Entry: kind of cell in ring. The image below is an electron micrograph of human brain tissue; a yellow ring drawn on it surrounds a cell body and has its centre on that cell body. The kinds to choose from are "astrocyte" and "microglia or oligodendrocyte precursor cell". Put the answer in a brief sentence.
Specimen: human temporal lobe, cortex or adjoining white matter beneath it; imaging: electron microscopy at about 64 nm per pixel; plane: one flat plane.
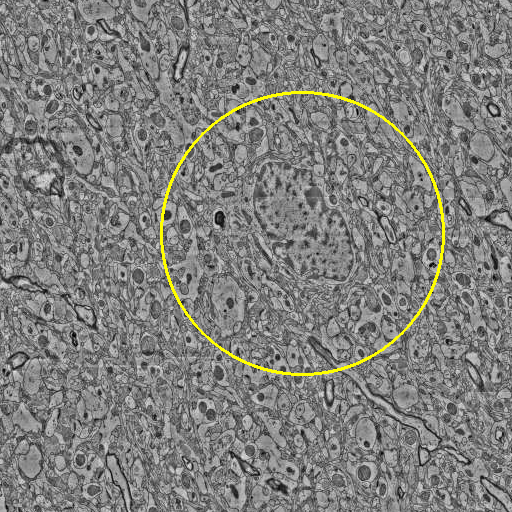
The ring has been drawn around a microglial cell or oligodendrocyte precursor cell.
